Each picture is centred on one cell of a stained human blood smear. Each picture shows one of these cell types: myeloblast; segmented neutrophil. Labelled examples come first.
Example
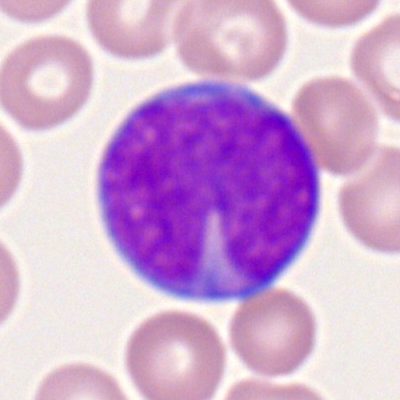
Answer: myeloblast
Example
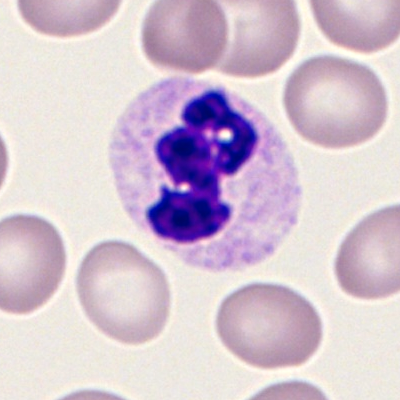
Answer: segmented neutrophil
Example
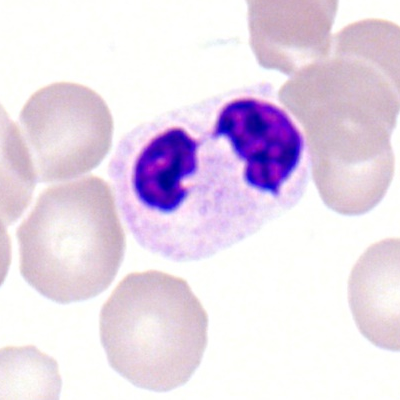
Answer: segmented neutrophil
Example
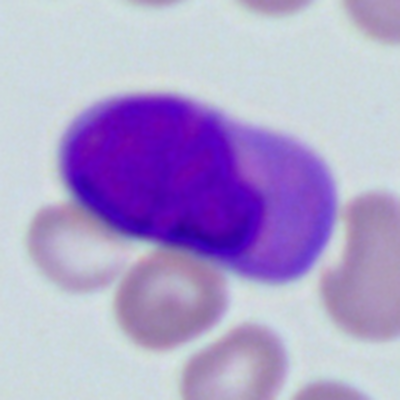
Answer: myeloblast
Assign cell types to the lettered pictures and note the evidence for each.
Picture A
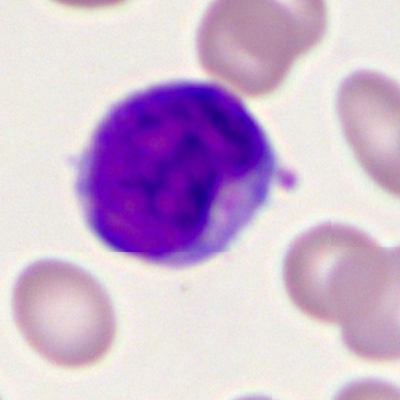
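Answer: myeloblast. The nucleus fills most of the cell.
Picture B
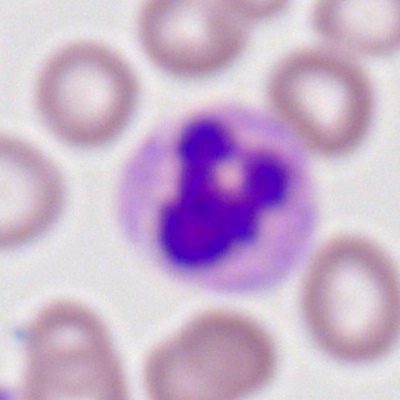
Answer: segmented neutrophil. The cytoplasm forms a wide rim around the nucleus.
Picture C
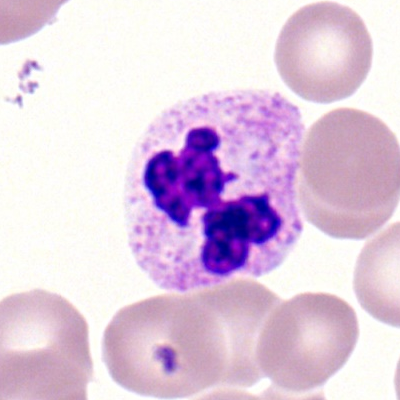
Answer: segmented neutrophil. The nucleus is divided into lobes joined by narrow connections.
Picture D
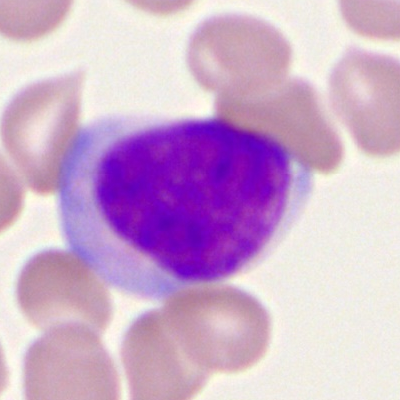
Answer: myeloblast. The nucleus fills most of the cell and sits toward the right side.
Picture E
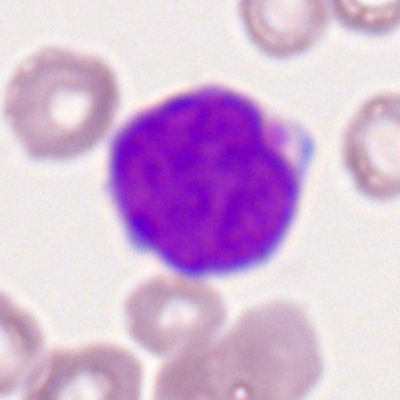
Answer: myeloblast. The nucleus fills almost the whole cell.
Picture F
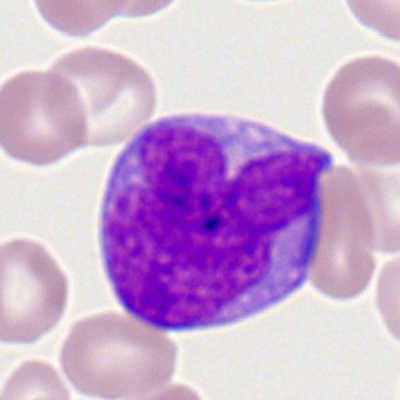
Answer: myeloblast. The nucleus fills most of the cell.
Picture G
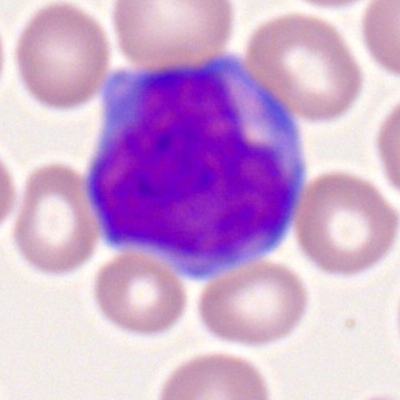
Answer: myeloblast. The nucleus is a single unlobed mass that fills most of the cell.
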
